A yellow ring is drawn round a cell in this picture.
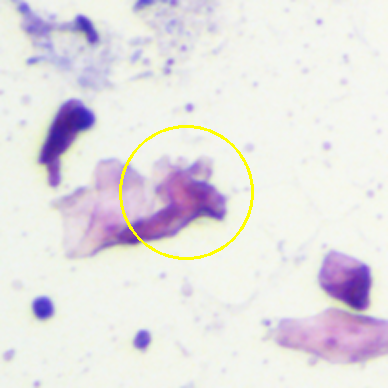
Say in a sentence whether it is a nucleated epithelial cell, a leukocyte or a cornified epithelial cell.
The cell in the ring is a cornified epithelial cell.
